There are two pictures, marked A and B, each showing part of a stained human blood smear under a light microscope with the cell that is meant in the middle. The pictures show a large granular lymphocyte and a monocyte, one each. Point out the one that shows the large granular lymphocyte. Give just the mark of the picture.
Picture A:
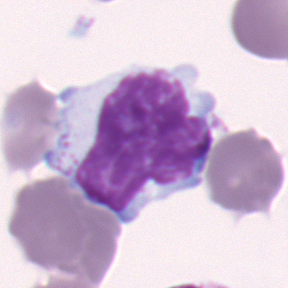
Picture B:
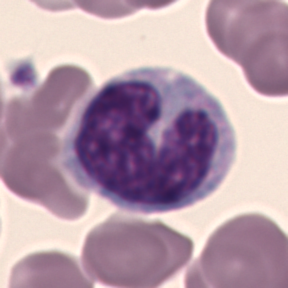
A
